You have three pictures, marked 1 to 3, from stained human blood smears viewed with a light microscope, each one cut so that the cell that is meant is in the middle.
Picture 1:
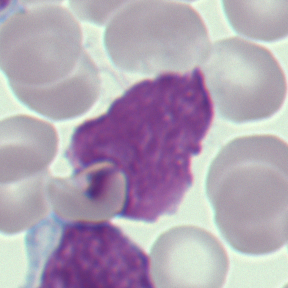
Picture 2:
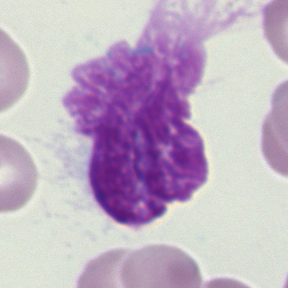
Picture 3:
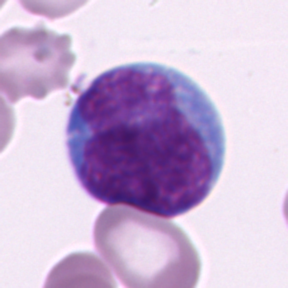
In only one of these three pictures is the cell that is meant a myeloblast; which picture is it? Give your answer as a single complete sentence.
It is picture 3 that shows the myeloblast.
